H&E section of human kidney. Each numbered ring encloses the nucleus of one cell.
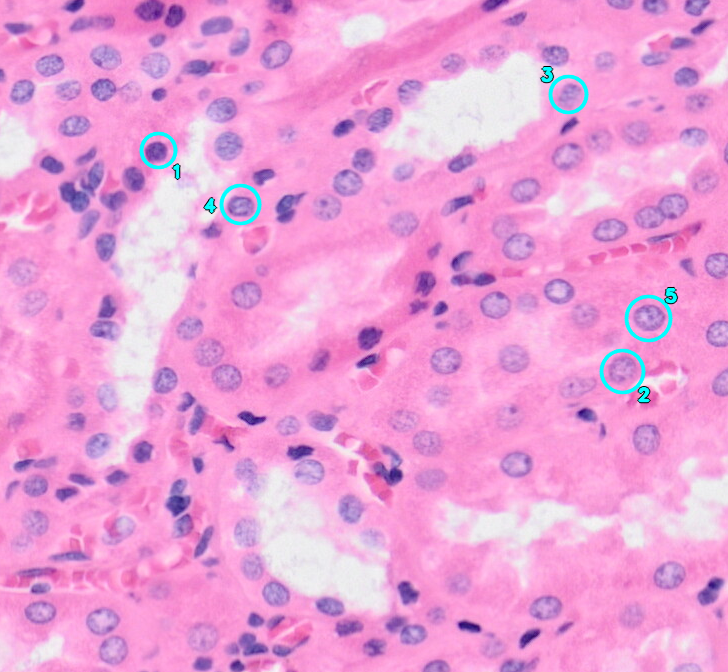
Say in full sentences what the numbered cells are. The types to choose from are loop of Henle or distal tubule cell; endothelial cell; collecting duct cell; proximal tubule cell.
Cell 1 is a loop of Henle or distal tubule cell, cell 2 is a proximal tubule cell, cell 3 is a loop of Henle or distal tubule cell, cell 4 is a loop of Henle or distal tubule cell and cell 5 is a proximal tubule cell.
